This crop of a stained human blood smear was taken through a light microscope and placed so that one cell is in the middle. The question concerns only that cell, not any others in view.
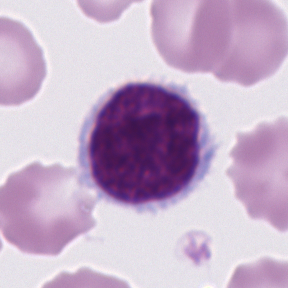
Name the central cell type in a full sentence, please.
In short, the cell at the center is a hairy cell.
